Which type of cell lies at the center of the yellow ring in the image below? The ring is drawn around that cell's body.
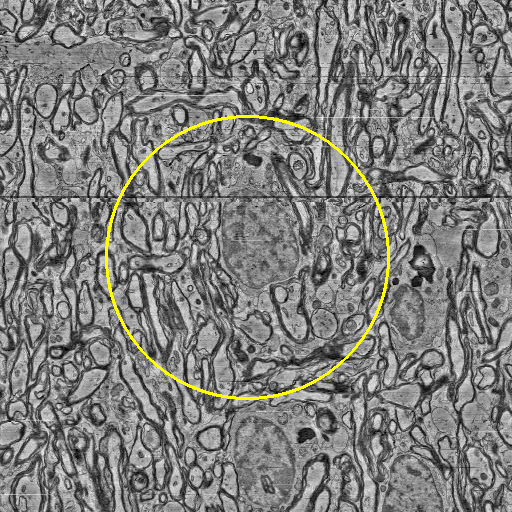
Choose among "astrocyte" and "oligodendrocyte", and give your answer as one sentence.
The cell body at the center belongs to an oligodendrocyte.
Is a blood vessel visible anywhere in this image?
No, none appears.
